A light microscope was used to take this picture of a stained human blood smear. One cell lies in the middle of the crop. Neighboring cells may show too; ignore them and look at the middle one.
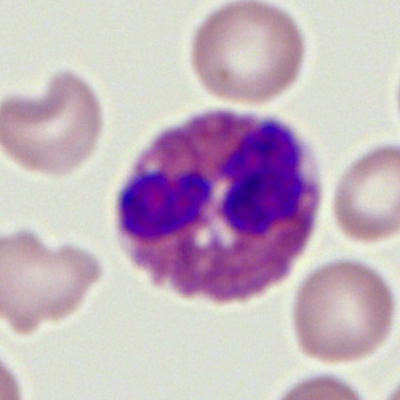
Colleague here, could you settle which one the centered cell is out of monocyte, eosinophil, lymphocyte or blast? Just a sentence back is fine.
The middle cell in this particular crop is an eosinophil.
